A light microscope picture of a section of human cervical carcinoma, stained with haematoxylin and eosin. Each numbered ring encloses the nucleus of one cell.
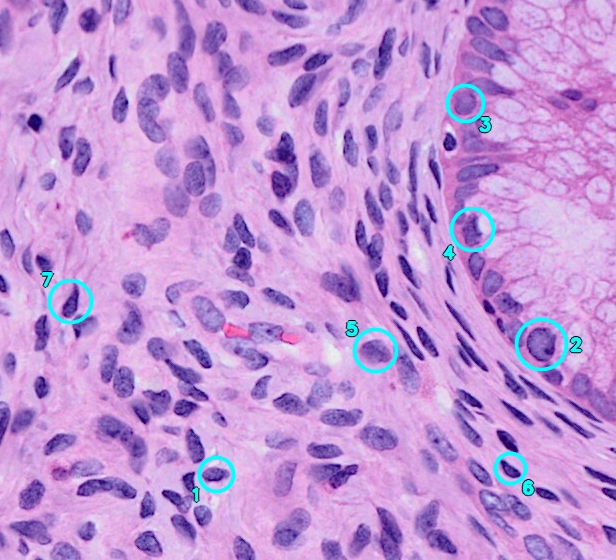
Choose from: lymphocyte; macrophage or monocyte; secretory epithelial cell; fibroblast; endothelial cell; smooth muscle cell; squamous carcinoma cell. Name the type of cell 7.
fibroblast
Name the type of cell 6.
fibroblast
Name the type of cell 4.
secretory epithelial cell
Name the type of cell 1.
fibroblast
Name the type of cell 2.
secretory epithelial cell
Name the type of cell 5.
fibroblast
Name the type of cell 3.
secretory epithelial cell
